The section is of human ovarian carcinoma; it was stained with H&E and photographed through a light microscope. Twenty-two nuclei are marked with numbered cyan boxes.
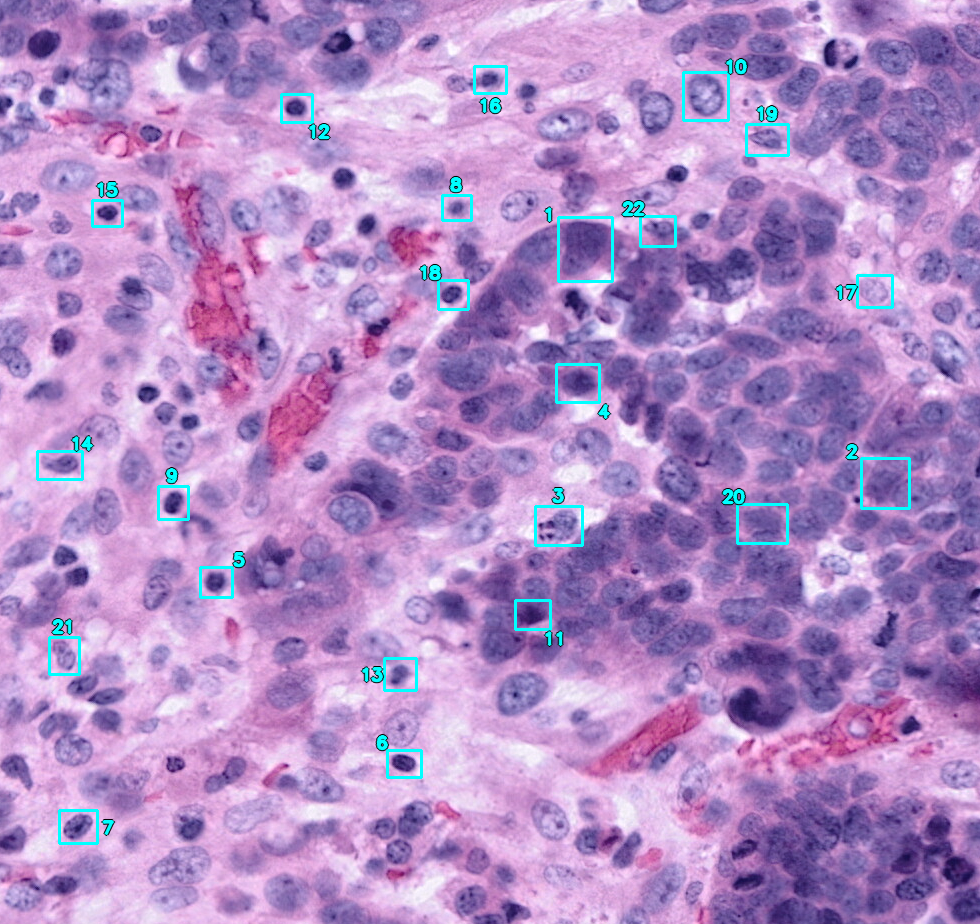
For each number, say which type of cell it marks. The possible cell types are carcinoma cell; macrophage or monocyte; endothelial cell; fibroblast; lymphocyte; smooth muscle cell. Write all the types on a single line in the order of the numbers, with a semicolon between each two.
carcinoma cell; carcinoma cell; macrophage or monocyte; carcinoma cell; lymphocyte; lymphocyte; lymphocyte; lymphocyte; lymphocyte; fibroblast; carcinoma cell; lymphocyte; lymphocyte; macrophage or monocyte; lymphocyte; lymphocyte; fibroblast; lymphocyte; macrophage or monocyte; carcinoma cell; macrophage or monocyte; macrophage or monocyte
